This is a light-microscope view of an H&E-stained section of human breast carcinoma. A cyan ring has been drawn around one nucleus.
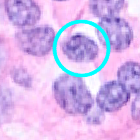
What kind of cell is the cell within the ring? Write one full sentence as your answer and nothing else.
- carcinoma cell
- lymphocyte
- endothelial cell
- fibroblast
Typologically, the cell within the ring is a carcinoma cell in this section.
